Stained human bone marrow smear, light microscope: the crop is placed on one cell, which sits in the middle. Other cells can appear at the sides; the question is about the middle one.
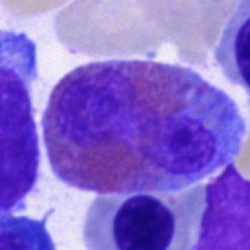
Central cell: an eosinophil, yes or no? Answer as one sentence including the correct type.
Yes, the centred cell is categorised as an eosinophil.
